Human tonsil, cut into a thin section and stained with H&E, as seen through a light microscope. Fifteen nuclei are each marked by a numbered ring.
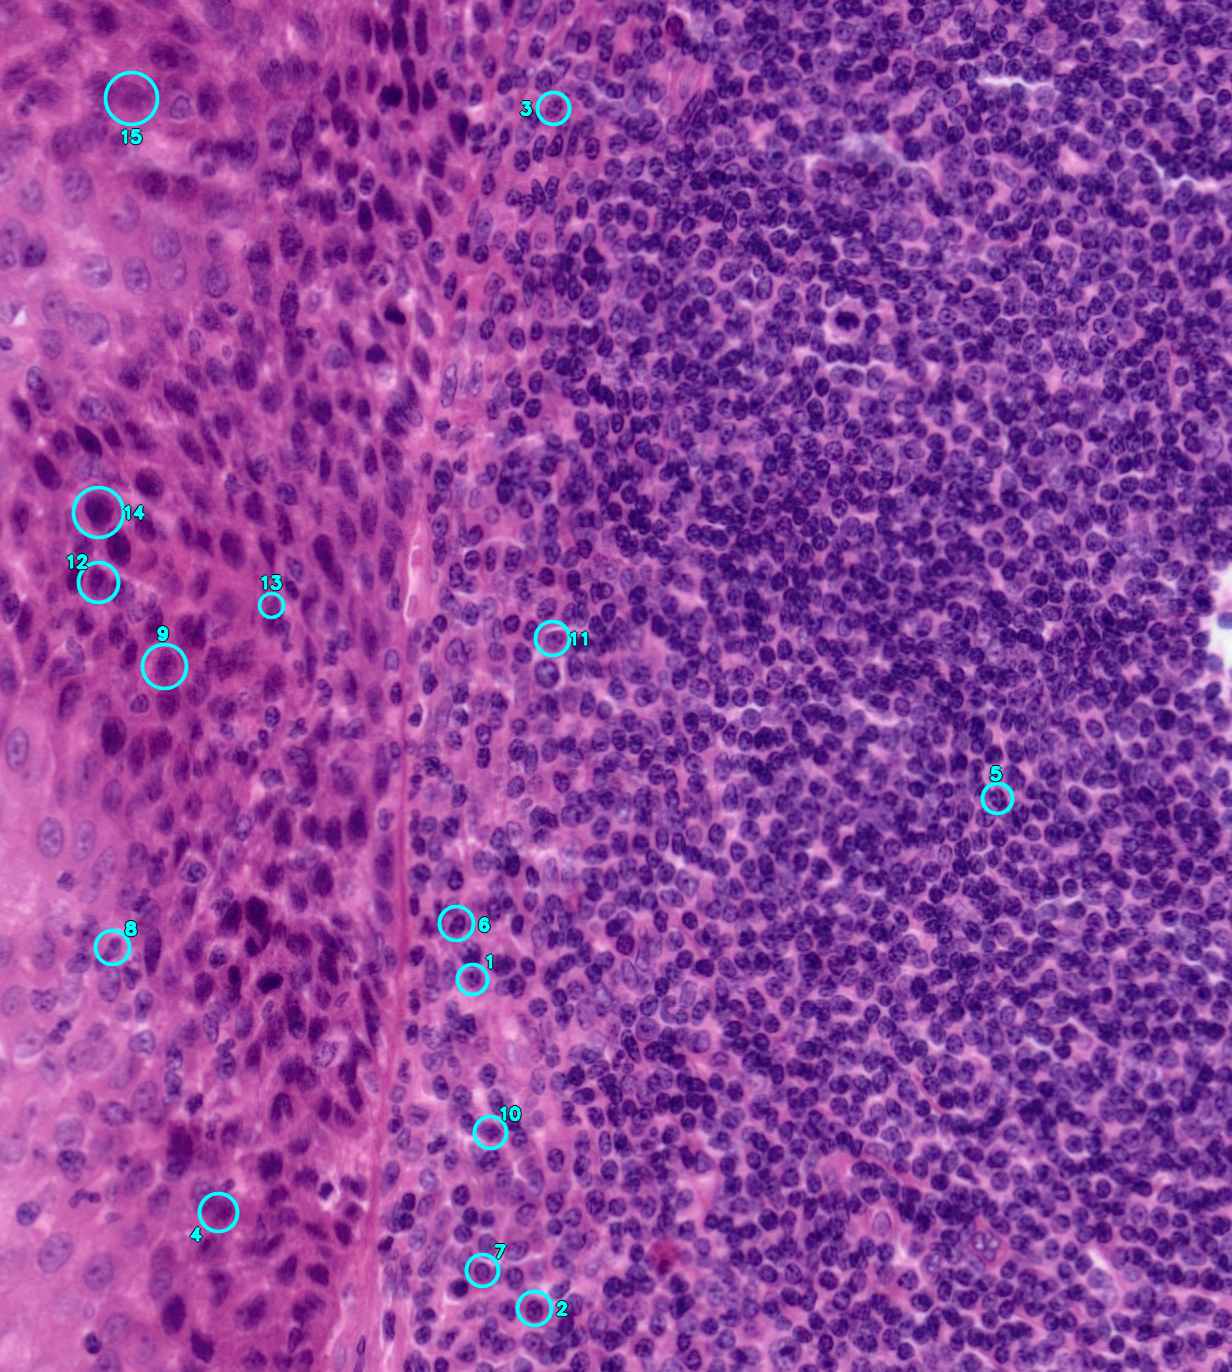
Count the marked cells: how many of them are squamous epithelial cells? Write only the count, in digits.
7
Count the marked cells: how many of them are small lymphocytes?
1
